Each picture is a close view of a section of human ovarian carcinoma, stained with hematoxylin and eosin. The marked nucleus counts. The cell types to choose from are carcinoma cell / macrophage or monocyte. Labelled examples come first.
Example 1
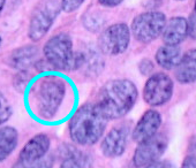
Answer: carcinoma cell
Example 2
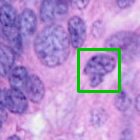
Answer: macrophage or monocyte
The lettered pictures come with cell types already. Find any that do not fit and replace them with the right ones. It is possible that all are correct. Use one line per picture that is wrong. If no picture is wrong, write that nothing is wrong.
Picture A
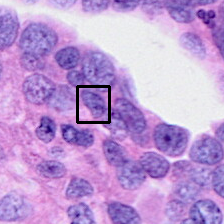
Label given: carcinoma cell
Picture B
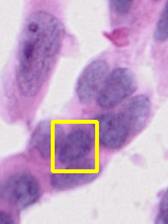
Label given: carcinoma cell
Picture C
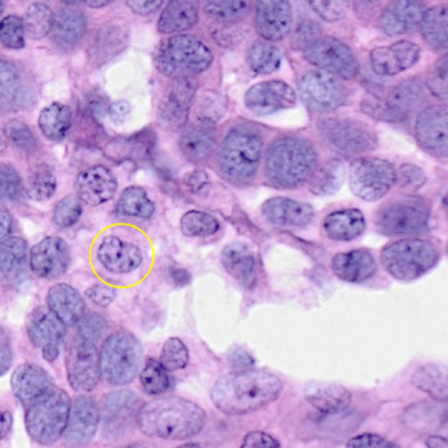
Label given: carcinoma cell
C: macrophage or monocyte, not carcinoma cell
